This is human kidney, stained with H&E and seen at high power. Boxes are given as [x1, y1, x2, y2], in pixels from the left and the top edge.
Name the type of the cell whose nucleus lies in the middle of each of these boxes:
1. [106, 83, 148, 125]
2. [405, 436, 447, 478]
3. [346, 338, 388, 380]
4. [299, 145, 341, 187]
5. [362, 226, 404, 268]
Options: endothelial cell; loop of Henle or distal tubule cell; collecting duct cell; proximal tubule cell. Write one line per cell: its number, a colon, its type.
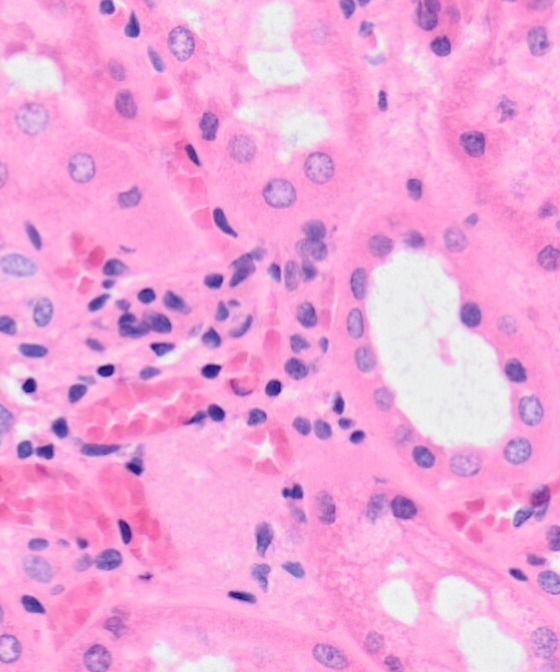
1: proximal tubule cell
2: loop of Henle or distal tubule cell
3: loop of Henle or distal tubule cell
4: proximal tubule cell
5: loop of Henle or distal tubule cell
